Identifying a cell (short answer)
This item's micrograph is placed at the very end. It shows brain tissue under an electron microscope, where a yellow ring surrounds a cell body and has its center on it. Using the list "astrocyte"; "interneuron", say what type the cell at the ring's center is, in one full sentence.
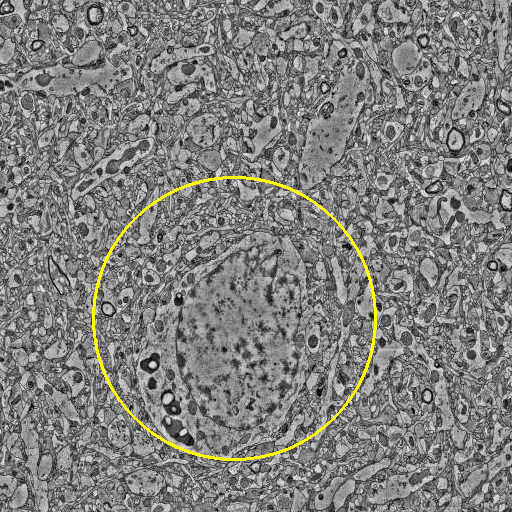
This picture shows an interneuron at the center of the yellow ring drawn on it.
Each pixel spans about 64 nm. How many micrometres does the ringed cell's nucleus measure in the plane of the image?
About 11 by 8 micrometers, in this plane.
